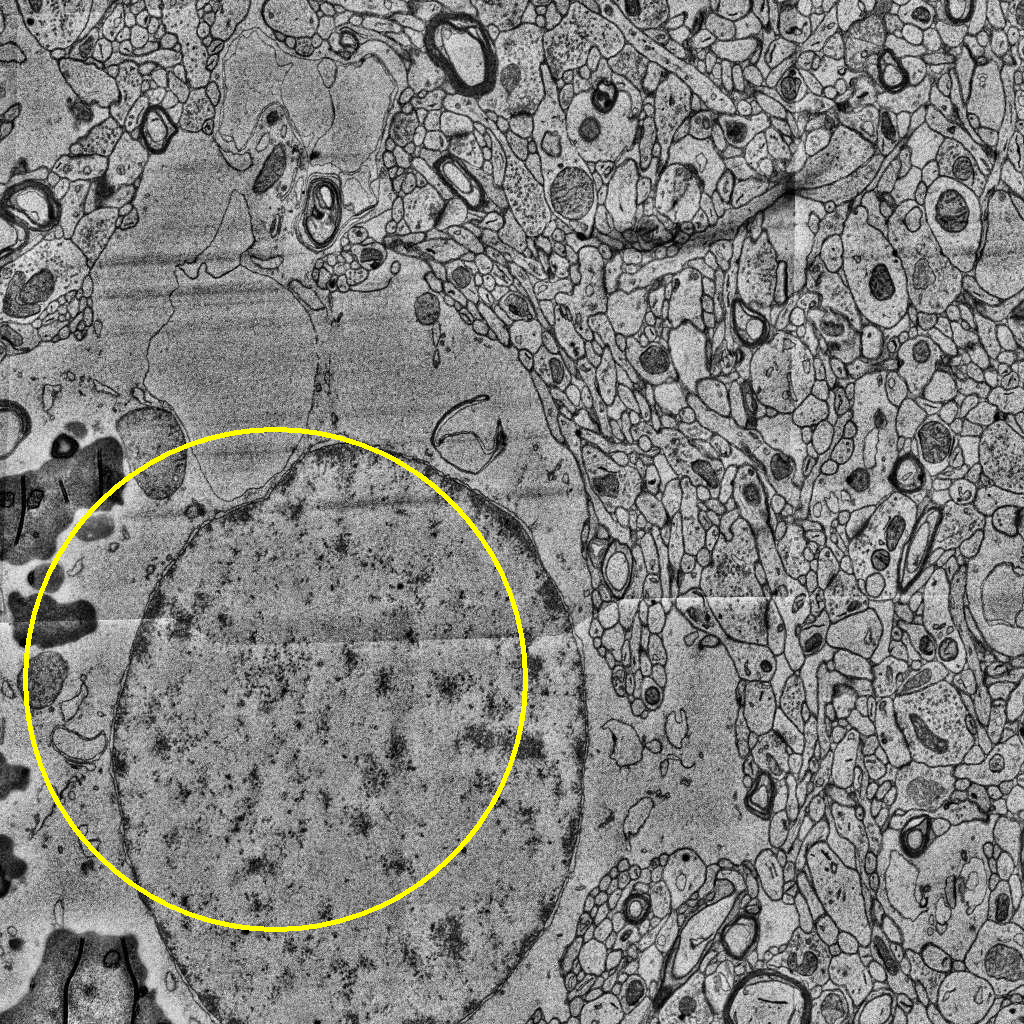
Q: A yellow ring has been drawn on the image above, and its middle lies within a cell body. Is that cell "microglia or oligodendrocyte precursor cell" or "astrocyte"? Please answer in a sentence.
The ring's middle lies in the cell body of an astrocyte.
